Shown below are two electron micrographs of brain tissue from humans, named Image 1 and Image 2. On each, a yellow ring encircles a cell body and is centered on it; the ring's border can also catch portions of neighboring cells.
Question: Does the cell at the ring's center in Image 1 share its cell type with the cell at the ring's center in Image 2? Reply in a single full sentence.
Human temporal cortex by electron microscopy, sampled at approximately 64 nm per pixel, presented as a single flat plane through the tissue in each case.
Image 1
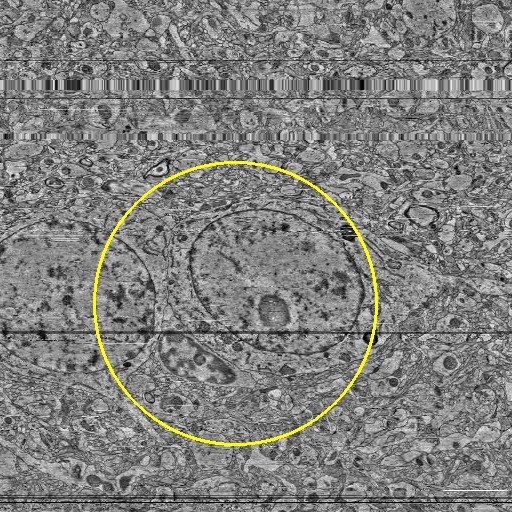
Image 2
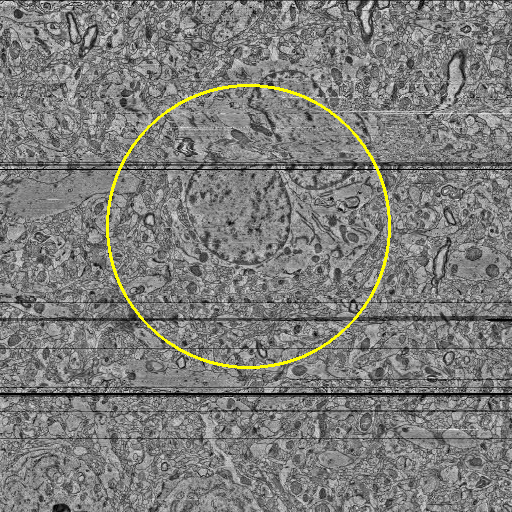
No, the two cells at the ring centers, in Image 1 and Image 2, are of two cell types.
